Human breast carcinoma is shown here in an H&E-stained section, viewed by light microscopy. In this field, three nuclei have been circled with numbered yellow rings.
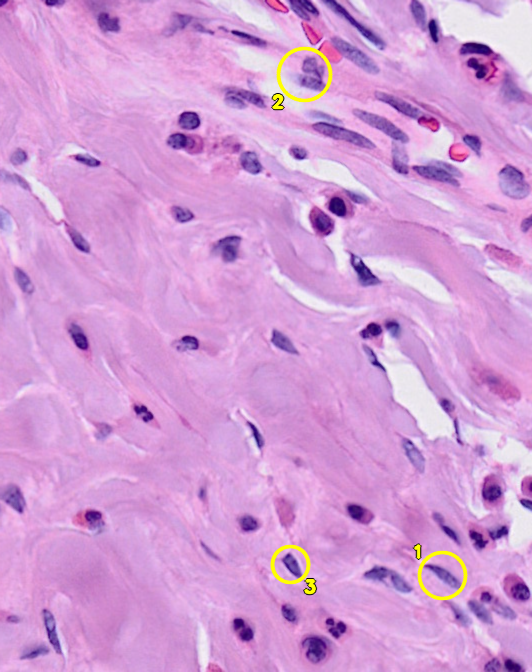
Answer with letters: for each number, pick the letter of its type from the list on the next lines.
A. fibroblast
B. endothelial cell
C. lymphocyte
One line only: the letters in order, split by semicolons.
A; B; A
